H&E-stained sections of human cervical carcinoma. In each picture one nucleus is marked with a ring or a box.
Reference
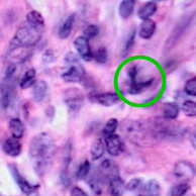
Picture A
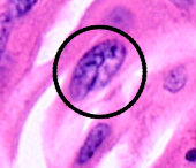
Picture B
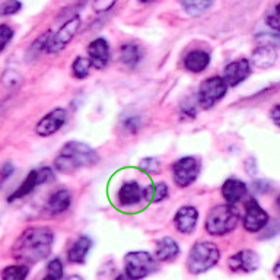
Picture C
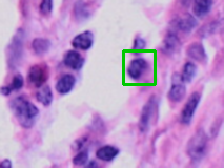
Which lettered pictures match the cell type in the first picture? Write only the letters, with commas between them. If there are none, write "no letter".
B, C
